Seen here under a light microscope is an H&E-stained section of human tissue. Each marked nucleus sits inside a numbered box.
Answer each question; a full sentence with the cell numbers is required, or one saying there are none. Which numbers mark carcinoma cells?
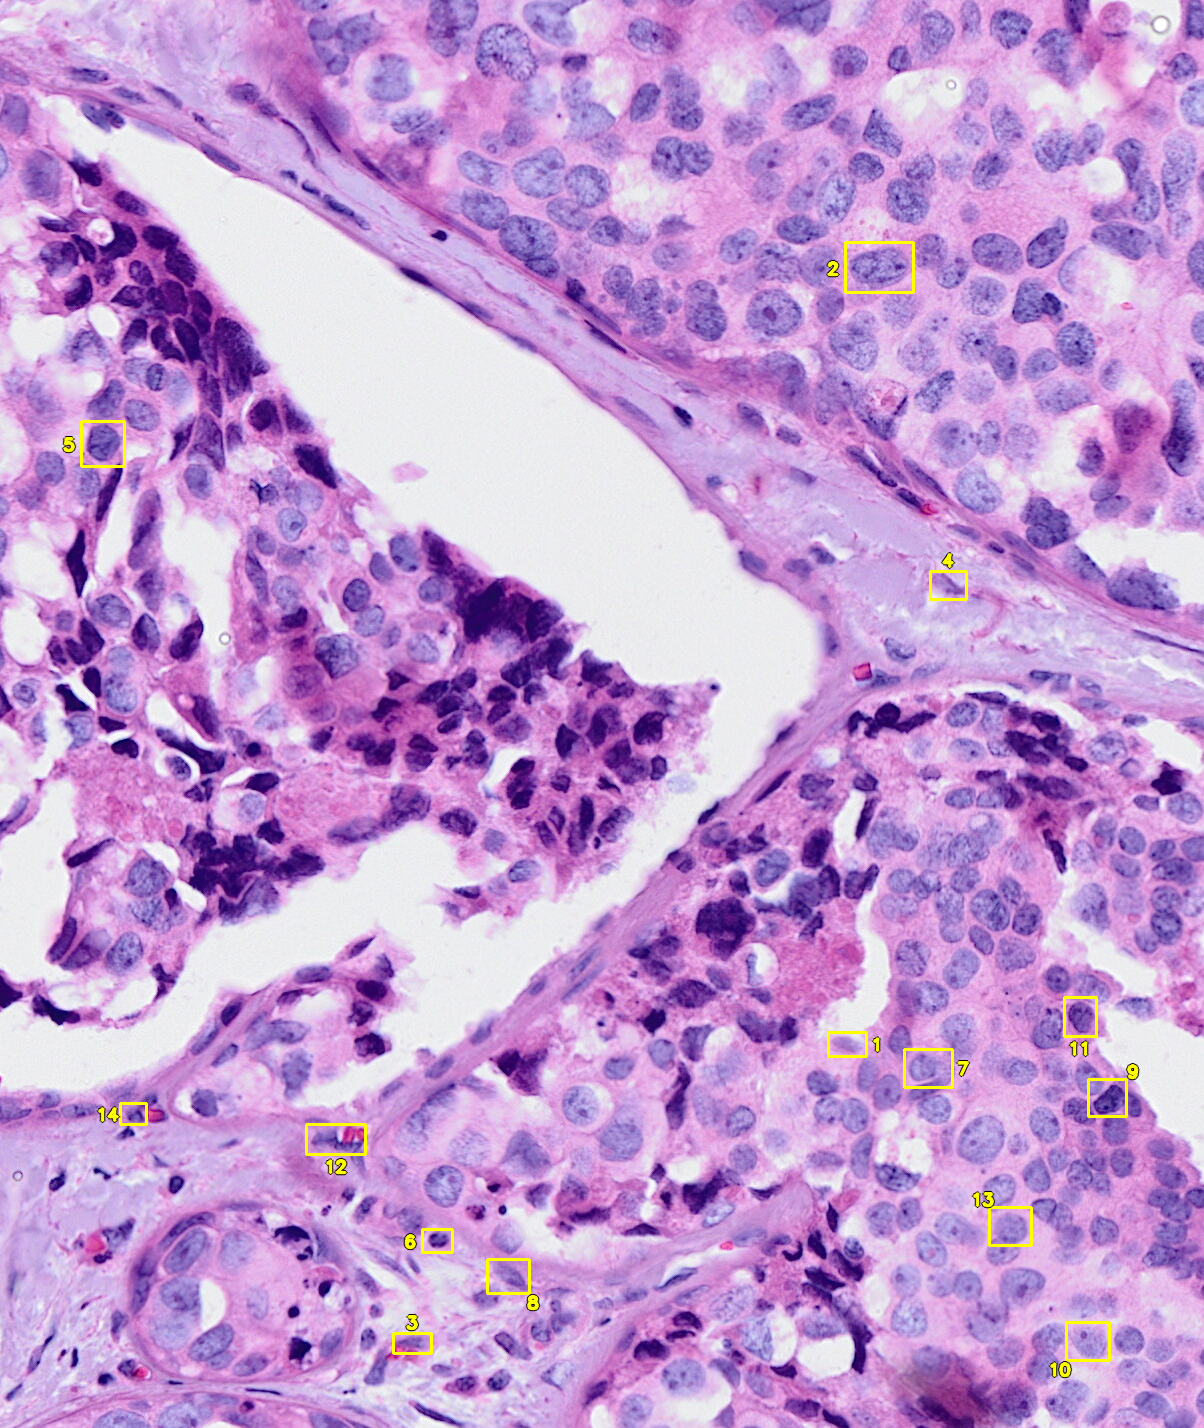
As for the cells numbered 1, 2, 5, 7, 9, 10, 11 and 13, they are carcinoma cells.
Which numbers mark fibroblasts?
Cell 4 is the single numbered cell that is a fibroblast.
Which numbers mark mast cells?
The only cell among those numbered to be a mast cell is number 6.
